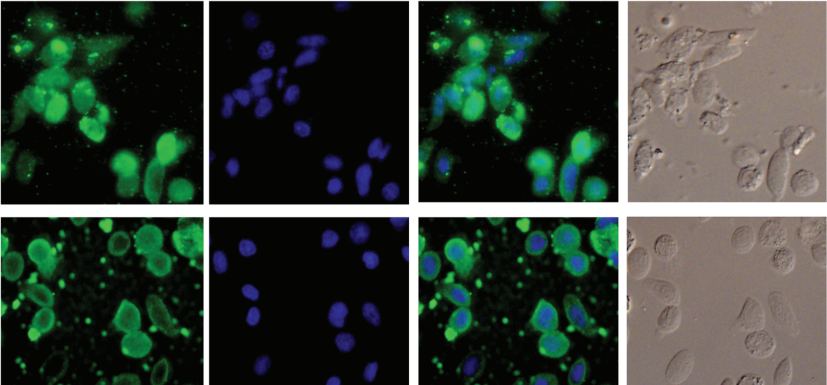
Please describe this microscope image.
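In the upper row, the green label fills much of the cells and overlaps the nuclei in the merged image. In the lower row, the green is concentrated more at the rims of the cells, giving ring-like outlines, and the blue nuclei stand out more clearly inside them. The transmitted-light images on the right show the cell outlines, and several cells have a granular cytoplasm.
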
